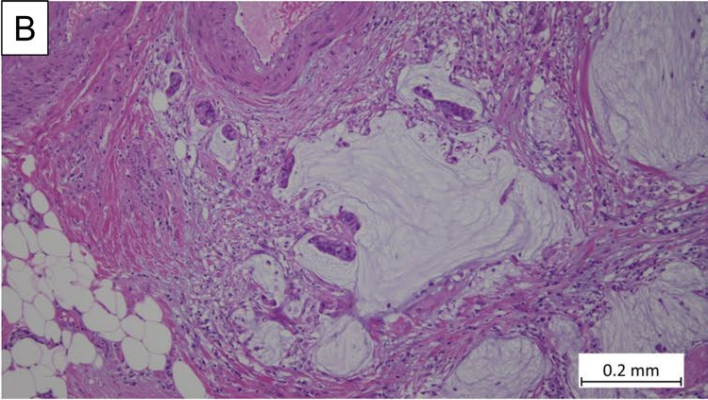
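Small nests and strips of darker-stained tumor cells float within the pools. The stroma between the pools is cellular, with scattered small dark nuclei, and includes bands of pink smooth muscle at the top.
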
